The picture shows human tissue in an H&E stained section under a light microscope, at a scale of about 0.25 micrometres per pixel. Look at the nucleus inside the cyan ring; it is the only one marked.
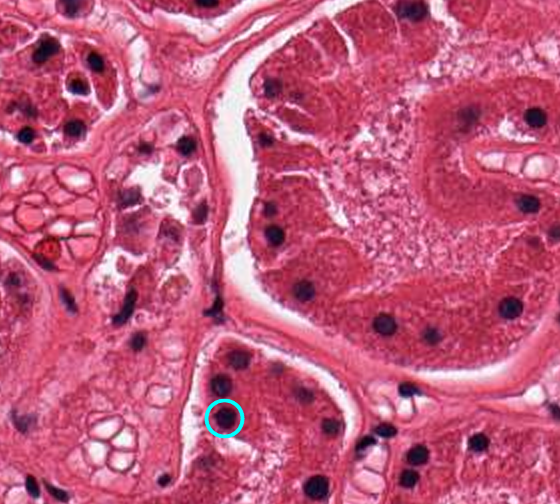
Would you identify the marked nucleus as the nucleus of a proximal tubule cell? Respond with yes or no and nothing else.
yes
